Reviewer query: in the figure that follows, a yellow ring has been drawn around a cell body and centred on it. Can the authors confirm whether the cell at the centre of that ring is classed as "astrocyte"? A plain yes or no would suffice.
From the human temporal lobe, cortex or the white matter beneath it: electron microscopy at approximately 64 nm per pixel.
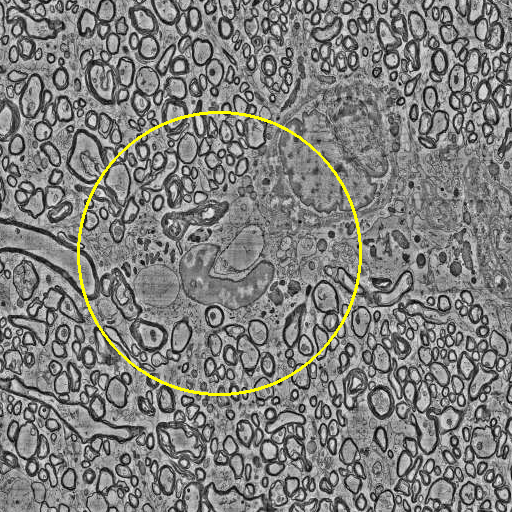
no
